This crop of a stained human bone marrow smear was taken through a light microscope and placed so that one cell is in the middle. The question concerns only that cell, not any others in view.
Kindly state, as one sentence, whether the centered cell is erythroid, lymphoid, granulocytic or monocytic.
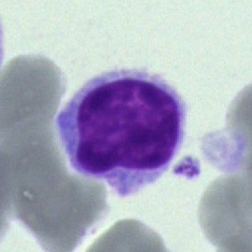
The cell in the middle belongs to the lymphoid lineage.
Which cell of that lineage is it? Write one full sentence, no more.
Framed in the middle of the crop is a lymphocyte.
